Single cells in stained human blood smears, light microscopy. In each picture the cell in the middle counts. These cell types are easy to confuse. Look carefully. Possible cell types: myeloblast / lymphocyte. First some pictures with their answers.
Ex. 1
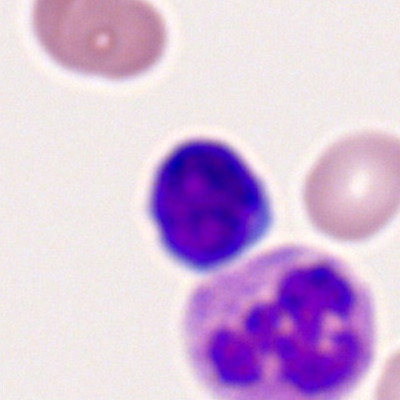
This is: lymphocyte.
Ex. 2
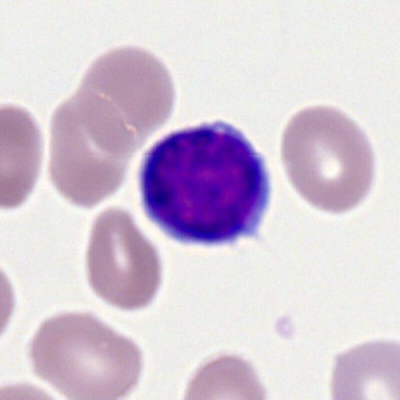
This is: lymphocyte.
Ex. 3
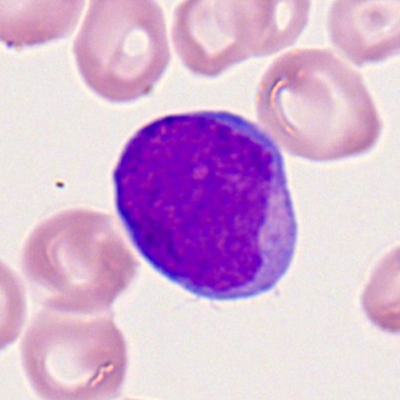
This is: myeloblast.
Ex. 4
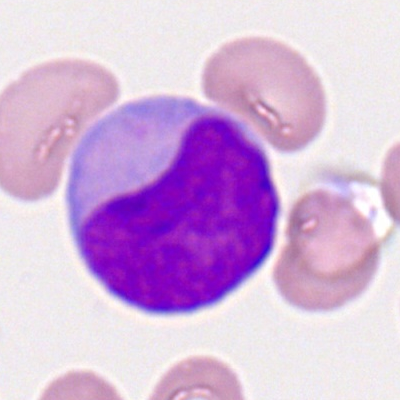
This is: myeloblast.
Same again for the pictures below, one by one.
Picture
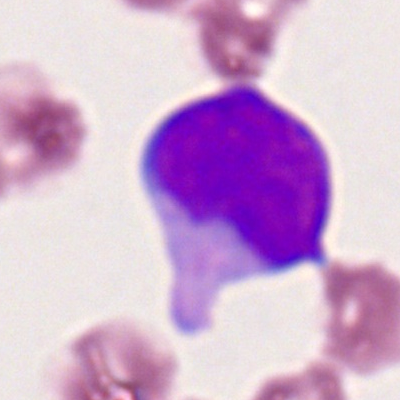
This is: myeloblast.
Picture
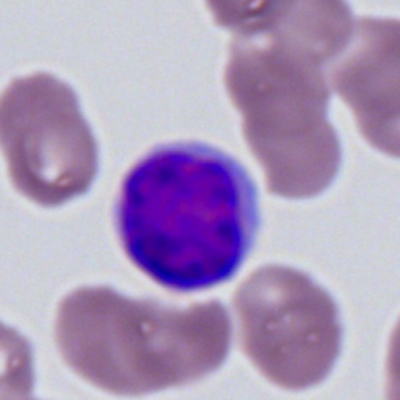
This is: lymphocyte.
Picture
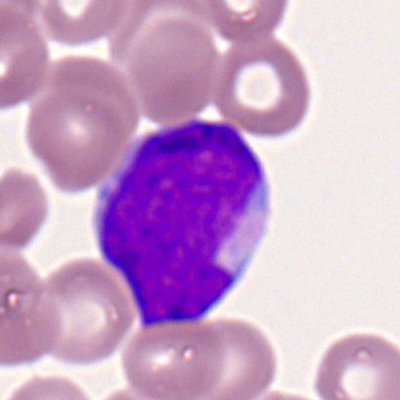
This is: myeloblast.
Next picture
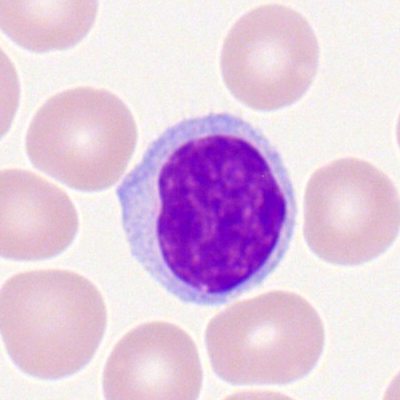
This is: lymphocyte.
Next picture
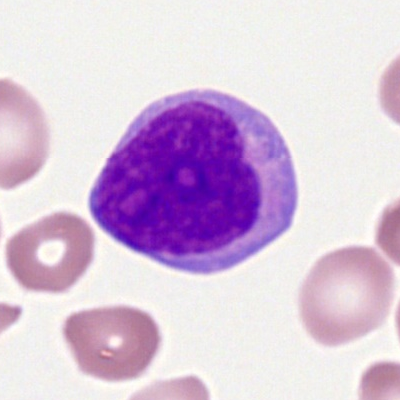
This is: myeloblast.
